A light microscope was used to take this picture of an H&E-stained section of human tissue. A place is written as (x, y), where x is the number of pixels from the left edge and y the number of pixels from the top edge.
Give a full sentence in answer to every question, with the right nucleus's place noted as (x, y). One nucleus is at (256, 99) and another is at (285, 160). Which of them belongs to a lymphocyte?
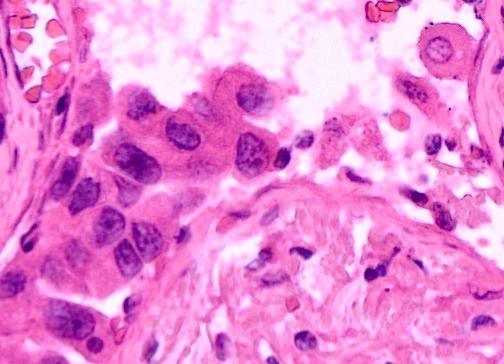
Of the two nuclei, the nucleus belonging to a lymphocyte is located at (285, 160).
